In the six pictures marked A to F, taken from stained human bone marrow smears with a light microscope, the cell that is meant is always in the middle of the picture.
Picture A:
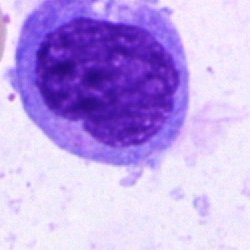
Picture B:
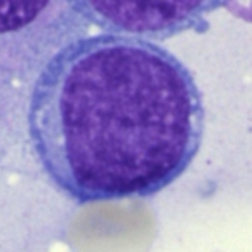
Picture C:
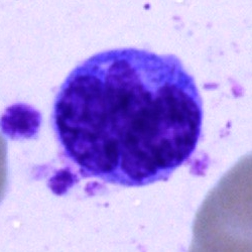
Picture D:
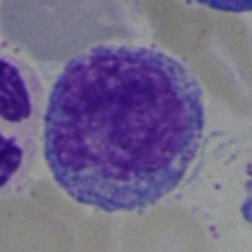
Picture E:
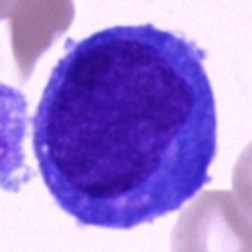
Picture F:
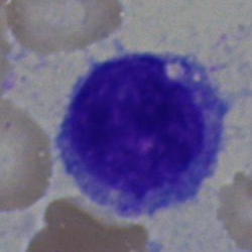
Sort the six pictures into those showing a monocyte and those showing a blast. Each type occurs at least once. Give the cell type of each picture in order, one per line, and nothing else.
monocyte
blast
monocyte
monocyte
blast
monocyte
